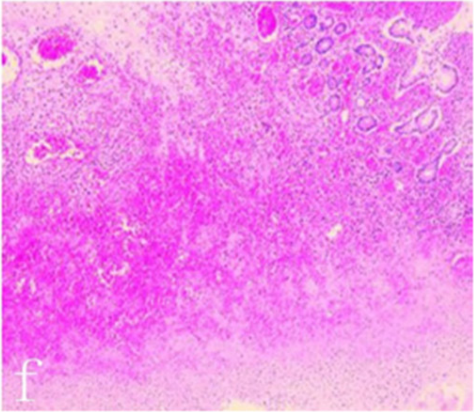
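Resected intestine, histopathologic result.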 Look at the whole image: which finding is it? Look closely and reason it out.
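Acute and chronic inflammatory cell infiltration. Gland cross-sections remain only in the upper right. Areas of deeper pink haemorrhagic or necrotic material lie among the cells.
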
